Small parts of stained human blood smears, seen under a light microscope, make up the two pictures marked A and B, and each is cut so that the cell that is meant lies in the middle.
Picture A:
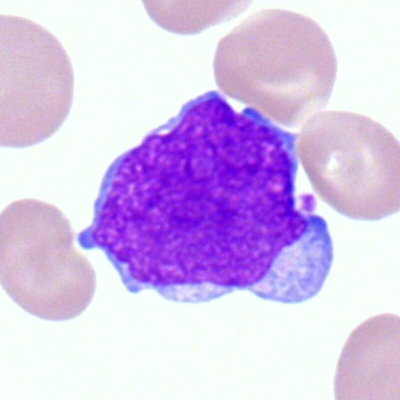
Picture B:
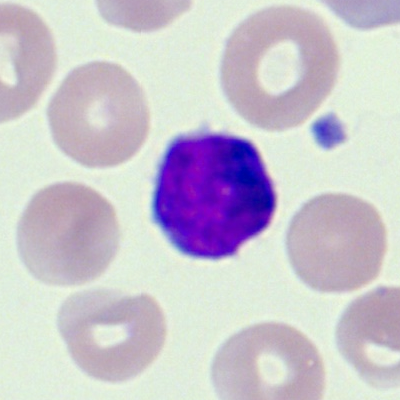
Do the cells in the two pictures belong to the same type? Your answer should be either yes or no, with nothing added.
no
